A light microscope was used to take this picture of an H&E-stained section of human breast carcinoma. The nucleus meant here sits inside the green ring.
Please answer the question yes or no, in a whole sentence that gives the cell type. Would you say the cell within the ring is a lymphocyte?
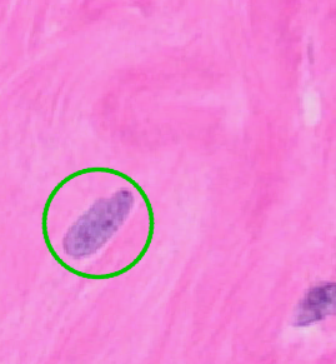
No, scored properly, the cell within the ring is a fibroblast rather than a lymphocyte.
